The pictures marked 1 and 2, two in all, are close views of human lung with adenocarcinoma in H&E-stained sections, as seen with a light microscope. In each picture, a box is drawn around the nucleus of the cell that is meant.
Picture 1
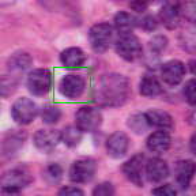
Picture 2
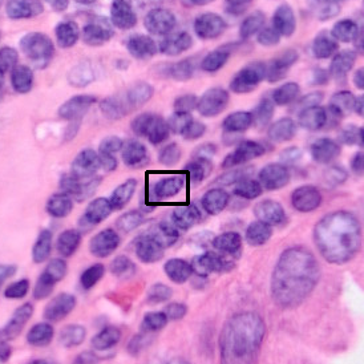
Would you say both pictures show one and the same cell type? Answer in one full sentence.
Yes, the two pictures both show lymphocytes.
